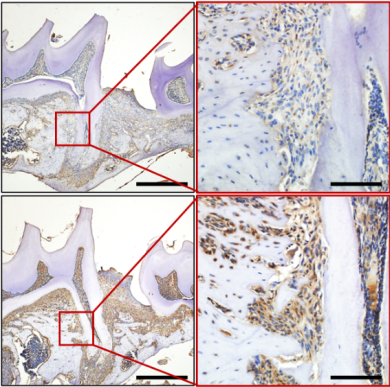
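Low-power sections show teeth with pale purple dentin and roots seated in alveolar bone, with a boxed region enlarged beside each. At higher power, a band of soft connective tissue lies between bone and the root surface. It is crowded with cells whose nuclei are elongated to oval and counterstained blue, many with brown cytoplasmic or nuclear staining. Pale bone with scattered cells in lacunae lies on one side, with an irregular, scalloped bone edge facing the soft tissue. The brown stain looks denser and more widespread in the lower pair of images.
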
